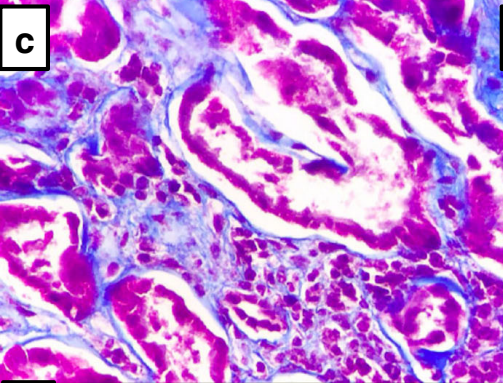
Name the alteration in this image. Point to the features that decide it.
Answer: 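Tubules are separated by blue-stained interstitium. Clusters of small round nuclei fill the interstitium between tubules. So: tubulointerstitial nephritis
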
